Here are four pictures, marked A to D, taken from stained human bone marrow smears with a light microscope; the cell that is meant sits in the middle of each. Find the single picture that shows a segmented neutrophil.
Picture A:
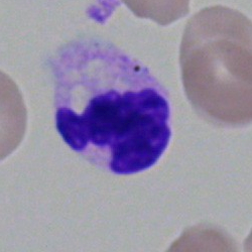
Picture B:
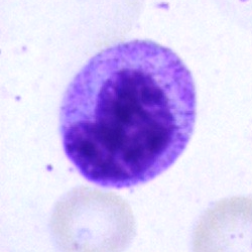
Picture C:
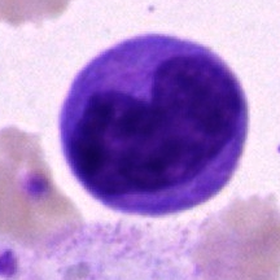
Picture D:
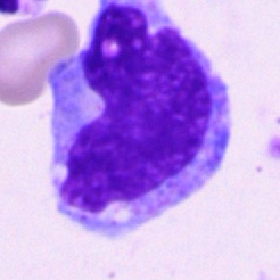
A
